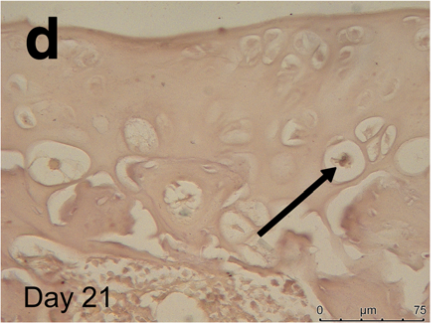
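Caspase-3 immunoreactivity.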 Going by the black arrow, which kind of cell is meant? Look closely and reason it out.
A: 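Chondrocytes. The arrow points to a rounded cell inside a lacuna. The surrounding matrix is smooth and pale pink.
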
